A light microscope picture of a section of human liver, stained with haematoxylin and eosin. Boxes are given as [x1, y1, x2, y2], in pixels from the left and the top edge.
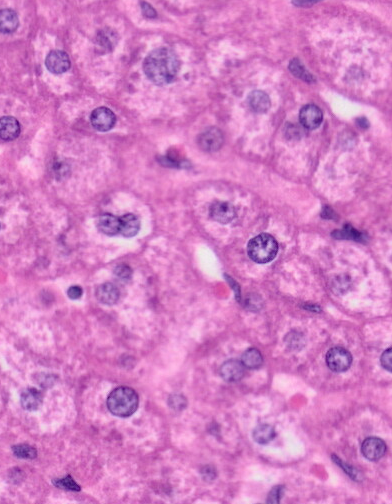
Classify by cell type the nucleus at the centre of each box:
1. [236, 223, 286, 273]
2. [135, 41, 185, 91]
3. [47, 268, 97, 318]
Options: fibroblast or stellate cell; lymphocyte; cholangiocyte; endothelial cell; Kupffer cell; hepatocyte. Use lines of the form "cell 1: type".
cell 1: hepatocyte
cell 2: hepatocyte
cell 3: lymphocyte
